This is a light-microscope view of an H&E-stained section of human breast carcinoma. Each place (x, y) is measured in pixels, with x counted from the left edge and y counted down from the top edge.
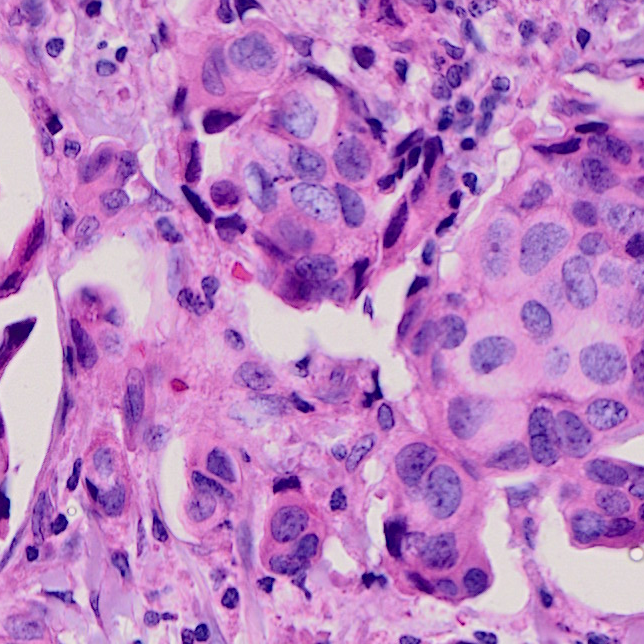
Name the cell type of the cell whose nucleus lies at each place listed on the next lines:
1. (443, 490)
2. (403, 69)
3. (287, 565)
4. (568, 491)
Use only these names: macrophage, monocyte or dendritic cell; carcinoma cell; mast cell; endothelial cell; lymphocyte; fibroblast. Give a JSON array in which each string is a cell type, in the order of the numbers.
["carcinoma cell", "lymphocyte", "carcinoma cell", "carcinoma cell"]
